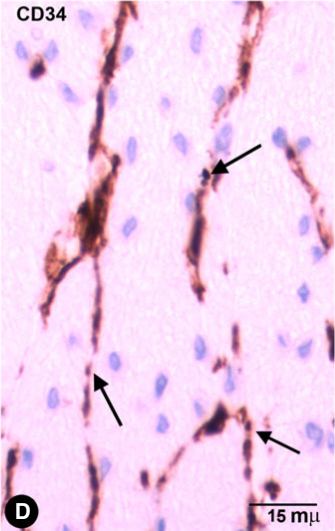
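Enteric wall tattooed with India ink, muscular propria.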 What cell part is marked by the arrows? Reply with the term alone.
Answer: intracellular pigment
